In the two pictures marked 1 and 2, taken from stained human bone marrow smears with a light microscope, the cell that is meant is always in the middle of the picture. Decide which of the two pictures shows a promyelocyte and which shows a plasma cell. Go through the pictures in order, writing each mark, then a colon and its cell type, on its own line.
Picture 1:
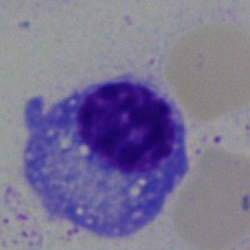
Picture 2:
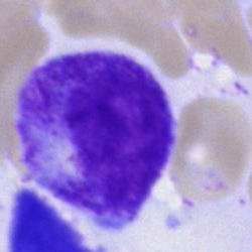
1: plasma cell
2: promyelocyte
